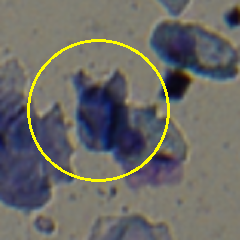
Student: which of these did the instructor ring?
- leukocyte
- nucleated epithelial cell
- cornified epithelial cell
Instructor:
The cell I ringed is a cornified epithelial cell.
